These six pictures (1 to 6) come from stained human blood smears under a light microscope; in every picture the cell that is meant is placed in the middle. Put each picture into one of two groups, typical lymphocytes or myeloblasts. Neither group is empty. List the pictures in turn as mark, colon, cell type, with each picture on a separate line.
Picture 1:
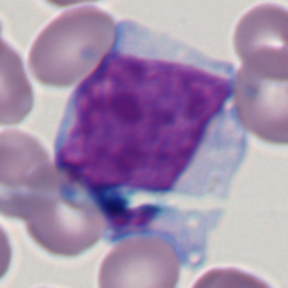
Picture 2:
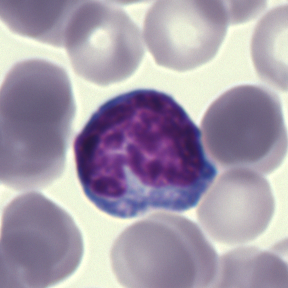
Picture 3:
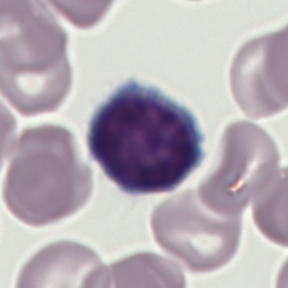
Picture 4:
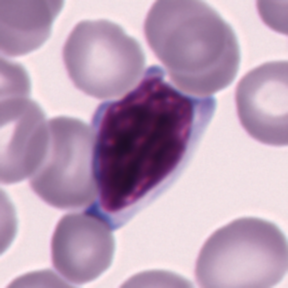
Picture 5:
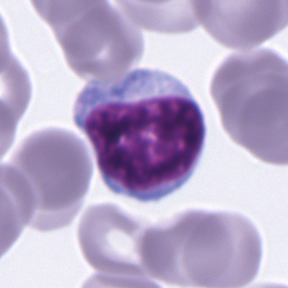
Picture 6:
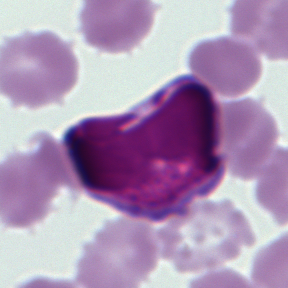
1: myeloblast
2: typical lymphocyte
3: typical lymphocyte
4: typical lymphocyte
5: typical lymphocyte
6: myeloblast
